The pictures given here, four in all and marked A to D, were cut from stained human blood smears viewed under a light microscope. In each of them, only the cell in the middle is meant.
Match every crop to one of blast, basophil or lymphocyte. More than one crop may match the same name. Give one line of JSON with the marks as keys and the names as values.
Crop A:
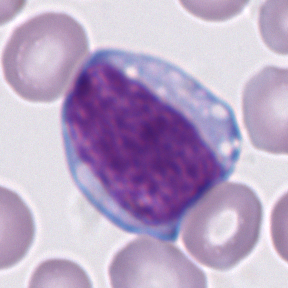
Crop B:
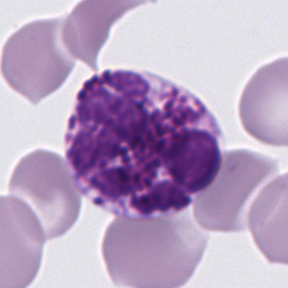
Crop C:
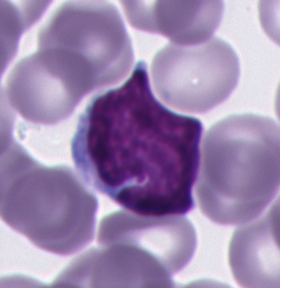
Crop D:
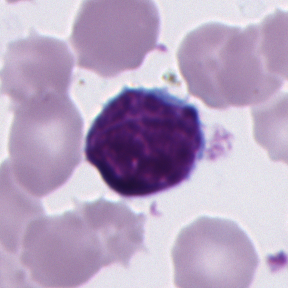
{"A": "blast", "B": "basophil", "C": "lymphocyte", "D": "lymphocyte"}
